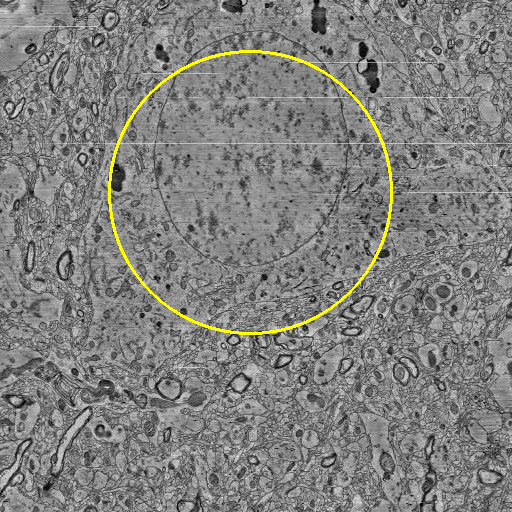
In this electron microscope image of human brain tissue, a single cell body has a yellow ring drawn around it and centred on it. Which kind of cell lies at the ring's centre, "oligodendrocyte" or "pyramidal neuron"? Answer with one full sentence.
It is a pyramidal neuron whose cell body lies at the centre of the yellow ring here.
